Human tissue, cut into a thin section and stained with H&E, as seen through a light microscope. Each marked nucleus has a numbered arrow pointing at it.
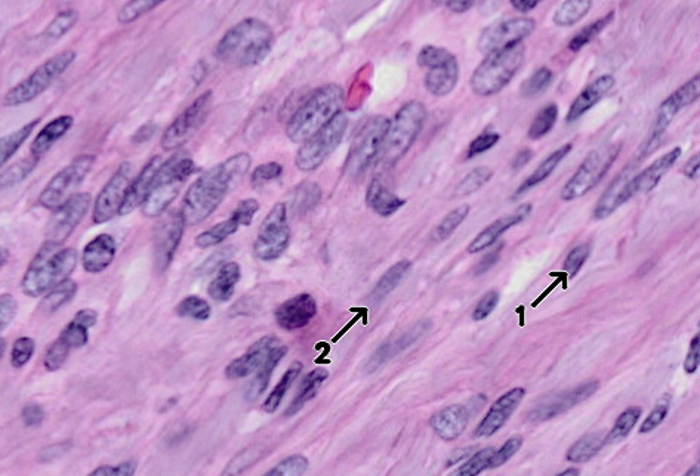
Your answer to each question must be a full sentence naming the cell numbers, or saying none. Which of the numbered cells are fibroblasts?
As for the numbered cells, only cell 2 is a fibroblast.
